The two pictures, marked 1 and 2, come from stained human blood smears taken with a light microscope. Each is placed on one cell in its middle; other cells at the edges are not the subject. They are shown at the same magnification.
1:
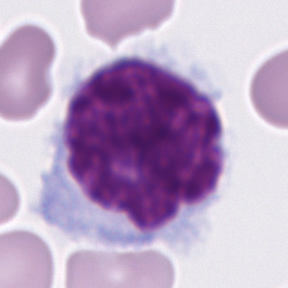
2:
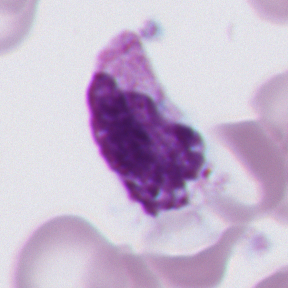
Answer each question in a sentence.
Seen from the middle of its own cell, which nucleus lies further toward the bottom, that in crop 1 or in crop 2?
In crop 2 the nucleus is shifted more toward the bottom.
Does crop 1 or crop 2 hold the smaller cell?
Smaller is the cell in crop 2, and the other is about 2 times as large in area.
